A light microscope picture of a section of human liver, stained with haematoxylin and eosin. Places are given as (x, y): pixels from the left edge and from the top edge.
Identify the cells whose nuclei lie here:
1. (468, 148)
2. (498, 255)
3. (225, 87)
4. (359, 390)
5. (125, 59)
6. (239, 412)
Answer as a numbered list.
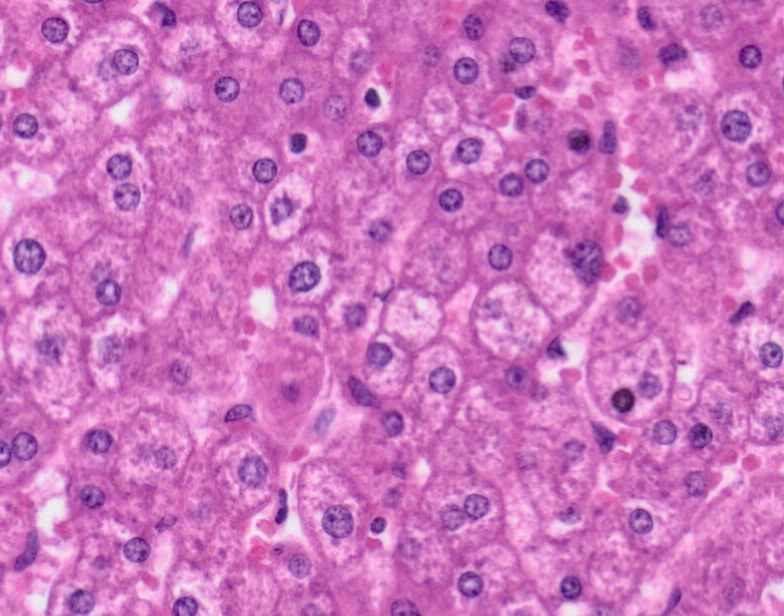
1. hepatocyte
2. hepatocyte
3. hepatocyte
4. Kupffer cell
5. hepatocyte
6. Kupffer cell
